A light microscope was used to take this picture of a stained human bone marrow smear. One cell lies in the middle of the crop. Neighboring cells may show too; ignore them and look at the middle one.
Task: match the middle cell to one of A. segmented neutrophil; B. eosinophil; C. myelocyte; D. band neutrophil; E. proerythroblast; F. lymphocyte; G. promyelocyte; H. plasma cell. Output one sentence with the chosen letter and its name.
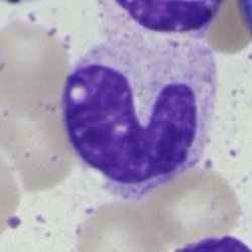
Option D is the right choice, the central cell being a band neutrophil.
